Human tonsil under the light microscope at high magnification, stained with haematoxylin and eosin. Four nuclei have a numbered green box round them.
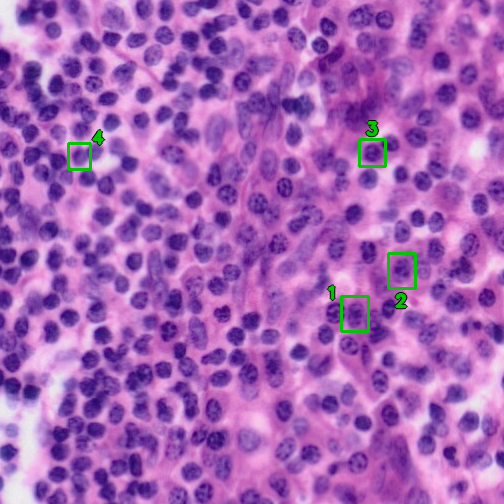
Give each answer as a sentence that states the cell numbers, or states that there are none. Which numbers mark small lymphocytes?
Cell 4 is the one numbered cell that is a small lymphocyte.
